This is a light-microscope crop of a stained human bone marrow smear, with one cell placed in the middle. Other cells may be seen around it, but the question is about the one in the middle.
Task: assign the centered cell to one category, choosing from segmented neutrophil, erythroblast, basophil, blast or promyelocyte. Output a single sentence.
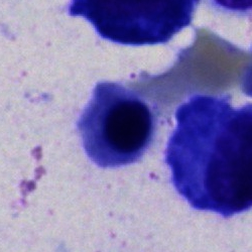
Classified as an erythroblast is the cell in the middle of this crop.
